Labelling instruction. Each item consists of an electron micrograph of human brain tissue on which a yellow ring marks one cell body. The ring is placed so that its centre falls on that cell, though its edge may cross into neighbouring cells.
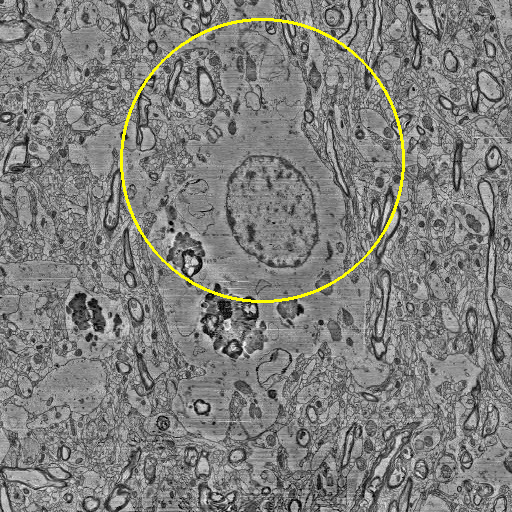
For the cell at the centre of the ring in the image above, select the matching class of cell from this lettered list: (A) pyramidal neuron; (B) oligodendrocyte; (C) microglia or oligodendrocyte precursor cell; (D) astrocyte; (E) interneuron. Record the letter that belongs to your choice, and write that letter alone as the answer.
D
